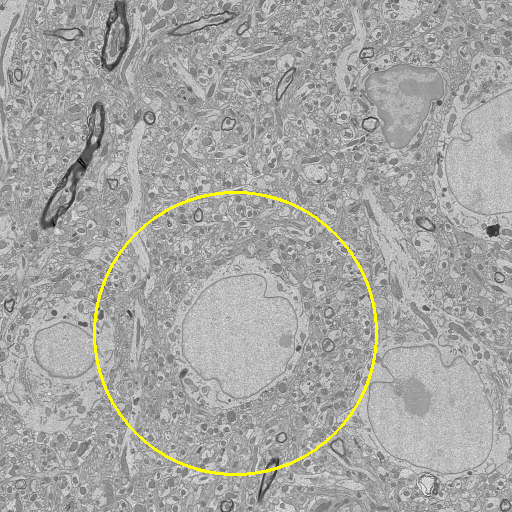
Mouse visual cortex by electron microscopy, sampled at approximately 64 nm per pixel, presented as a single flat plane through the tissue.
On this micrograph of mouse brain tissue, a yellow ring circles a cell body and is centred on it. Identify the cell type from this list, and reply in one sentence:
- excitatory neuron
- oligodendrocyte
The cell at the centre is an excitatory neuron.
